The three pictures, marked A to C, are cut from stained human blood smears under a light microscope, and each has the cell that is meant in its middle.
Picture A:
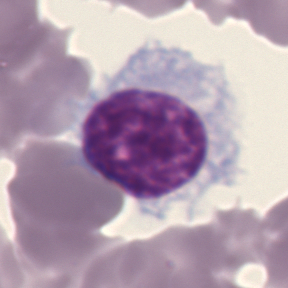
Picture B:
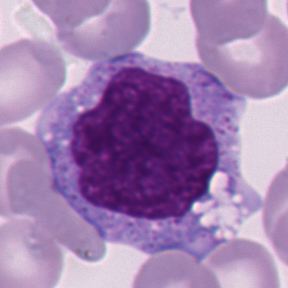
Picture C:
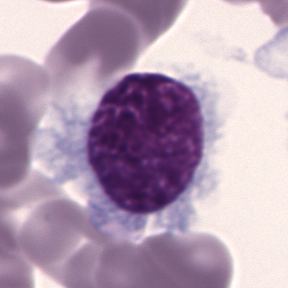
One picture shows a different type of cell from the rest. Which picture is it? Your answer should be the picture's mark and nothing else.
B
